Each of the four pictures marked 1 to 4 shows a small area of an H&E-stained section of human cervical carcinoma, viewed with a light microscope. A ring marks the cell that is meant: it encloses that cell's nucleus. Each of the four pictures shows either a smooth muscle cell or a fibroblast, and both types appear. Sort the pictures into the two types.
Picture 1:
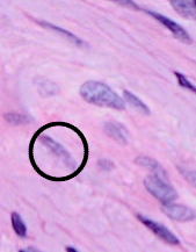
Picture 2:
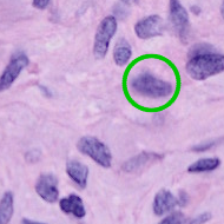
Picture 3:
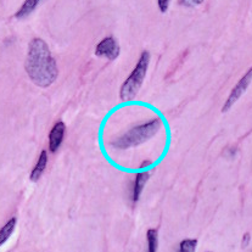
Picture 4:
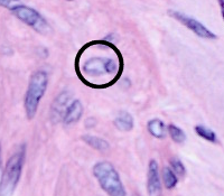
1: smooth muscle cell
2: fibroblast
3: fibroblast
4: smooth muscle cell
